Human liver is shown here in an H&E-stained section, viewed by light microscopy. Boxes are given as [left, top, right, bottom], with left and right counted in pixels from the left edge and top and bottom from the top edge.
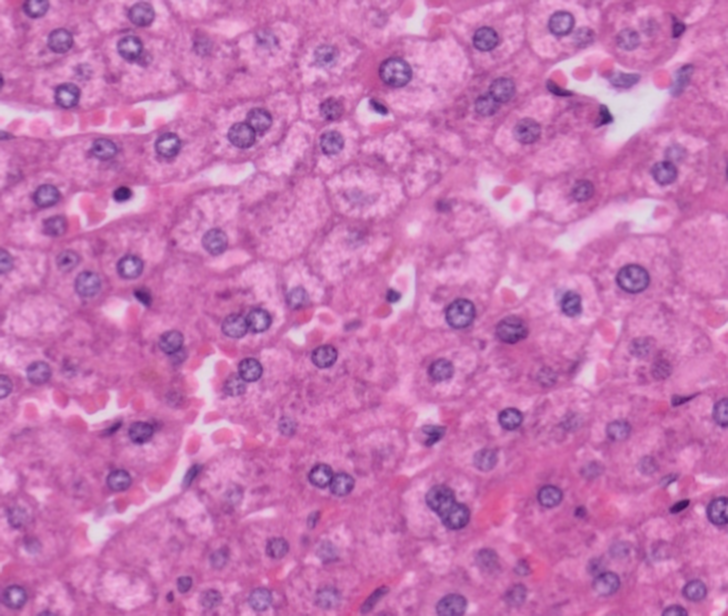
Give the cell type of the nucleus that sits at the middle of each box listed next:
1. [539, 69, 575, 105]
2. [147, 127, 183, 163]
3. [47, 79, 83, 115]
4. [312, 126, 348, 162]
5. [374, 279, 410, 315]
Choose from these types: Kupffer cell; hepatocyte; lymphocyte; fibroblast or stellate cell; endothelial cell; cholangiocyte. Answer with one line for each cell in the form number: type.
1: endothelial cell
2: hepatocyte
3: hepatocyte
4: hepatocyte
5: lymphocyte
